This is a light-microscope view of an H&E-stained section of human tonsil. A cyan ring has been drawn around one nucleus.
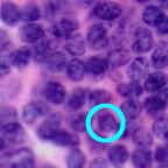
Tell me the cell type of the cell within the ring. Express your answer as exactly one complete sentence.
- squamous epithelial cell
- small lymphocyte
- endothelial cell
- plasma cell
Within the stained tissue, the cell within the ring is a small lymphocyte.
